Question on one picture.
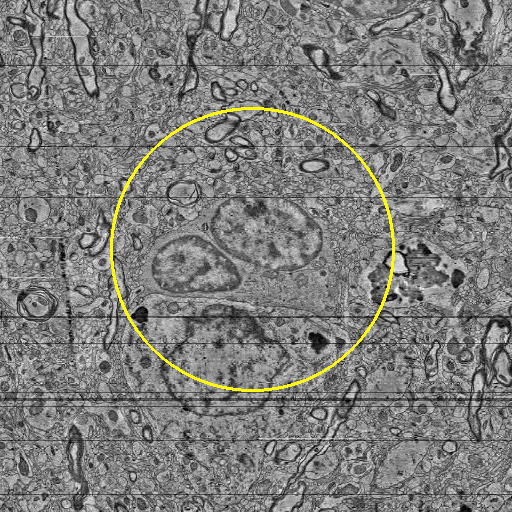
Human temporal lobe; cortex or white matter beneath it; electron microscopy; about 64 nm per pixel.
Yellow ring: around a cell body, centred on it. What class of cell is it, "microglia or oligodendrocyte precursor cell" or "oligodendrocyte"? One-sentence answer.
This is an oligodendrocyte, the cell the ring is centred on.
